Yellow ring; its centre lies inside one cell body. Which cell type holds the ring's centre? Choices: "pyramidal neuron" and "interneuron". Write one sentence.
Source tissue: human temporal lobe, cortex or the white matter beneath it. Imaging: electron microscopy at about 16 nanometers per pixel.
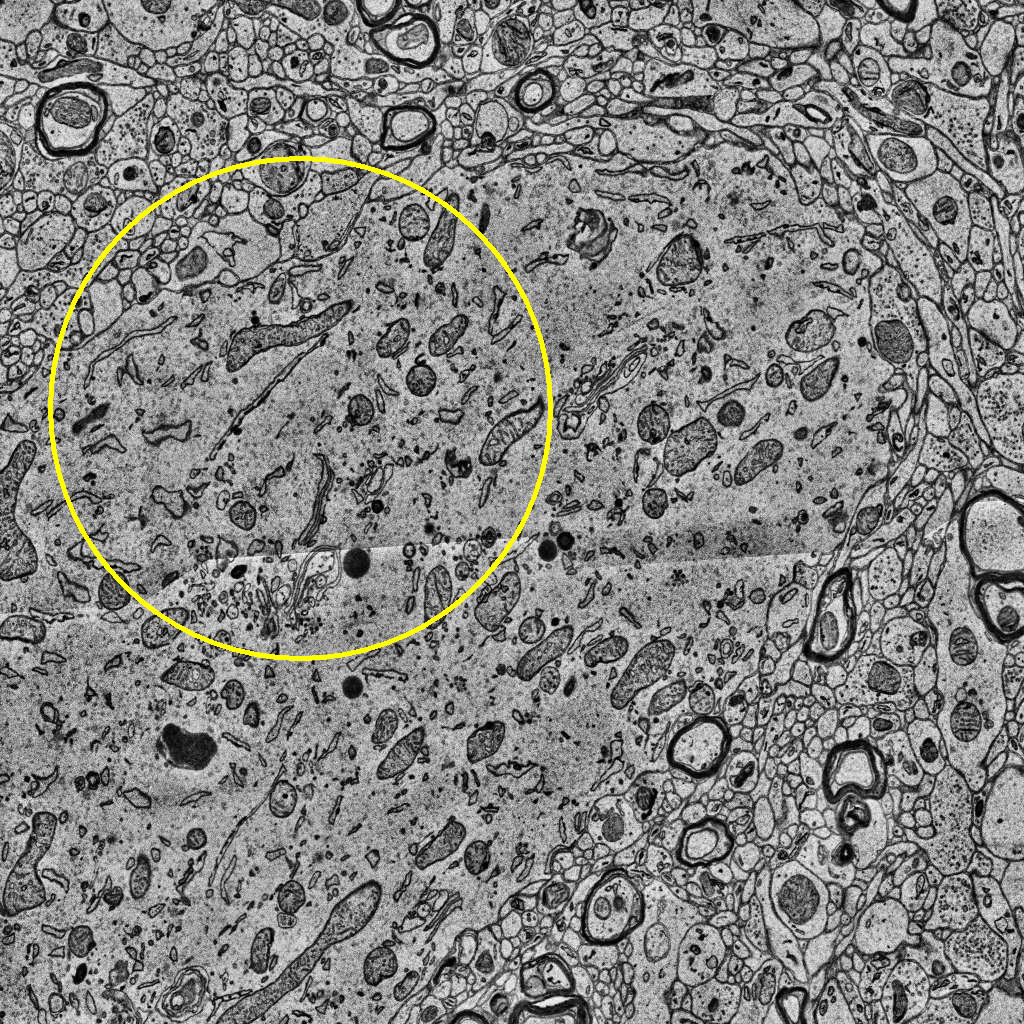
At the centre of the ring sits a pyramidal neuron.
